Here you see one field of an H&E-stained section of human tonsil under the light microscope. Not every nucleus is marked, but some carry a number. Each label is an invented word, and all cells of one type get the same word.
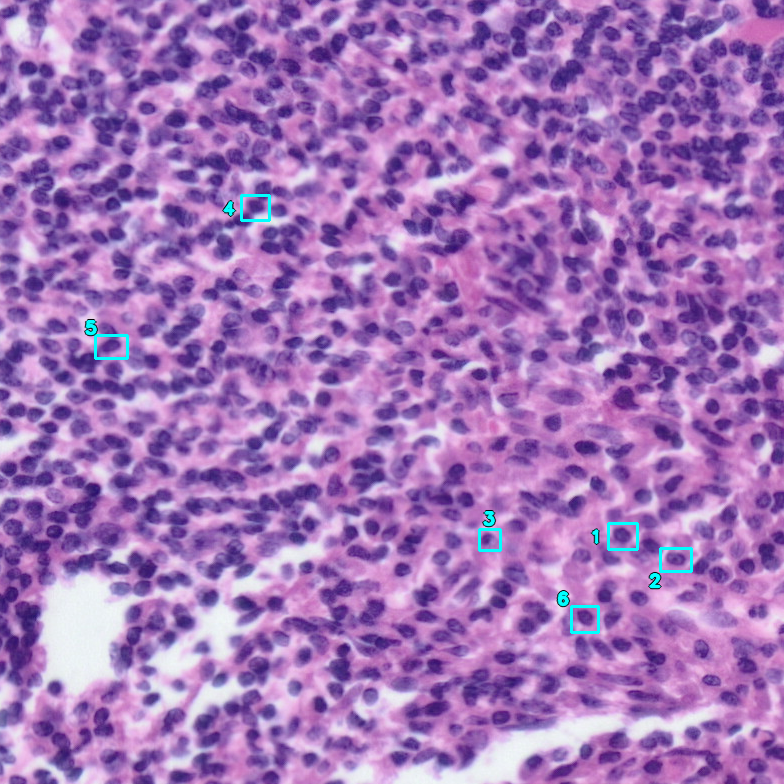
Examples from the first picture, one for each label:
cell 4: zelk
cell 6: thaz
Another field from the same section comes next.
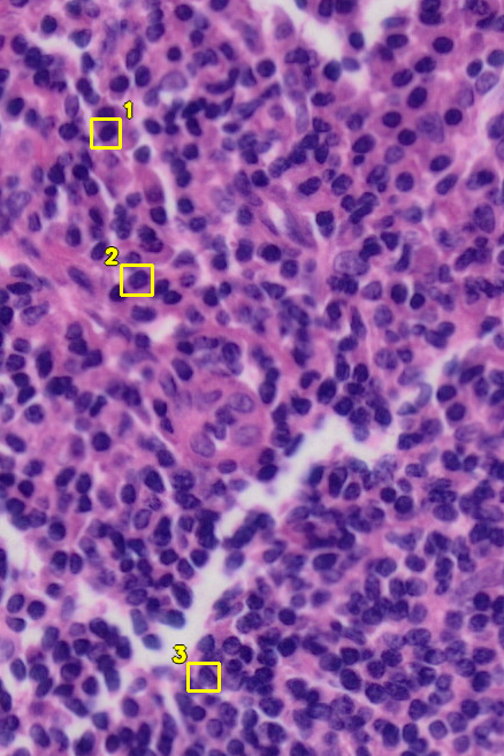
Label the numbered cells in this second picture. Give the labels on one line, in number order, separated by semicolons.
thaz; thaz; zelk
